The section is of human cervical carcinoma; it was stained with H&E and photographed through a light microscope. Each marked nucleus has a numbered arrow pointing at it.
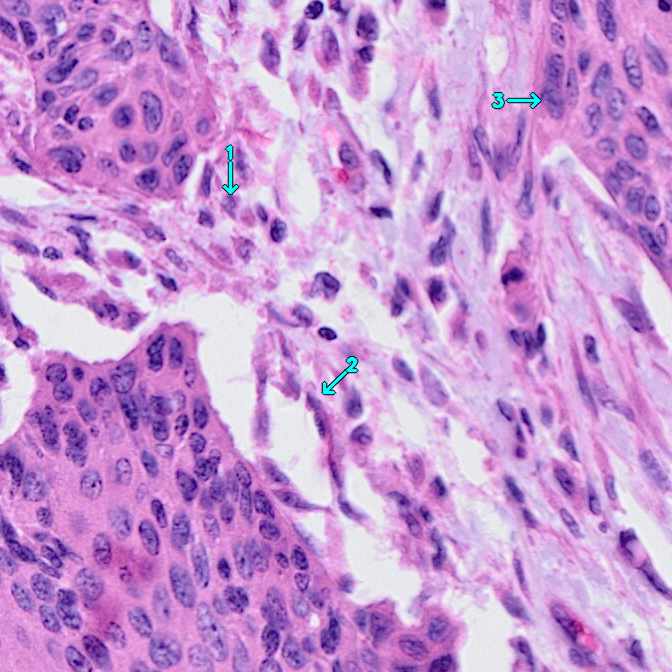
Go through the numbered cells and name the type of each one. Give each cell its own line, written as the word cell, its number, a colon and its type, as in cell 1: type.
cell 1: fibroblast
cell 2: fibroblast
cell 3: squamous carcinoma cell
